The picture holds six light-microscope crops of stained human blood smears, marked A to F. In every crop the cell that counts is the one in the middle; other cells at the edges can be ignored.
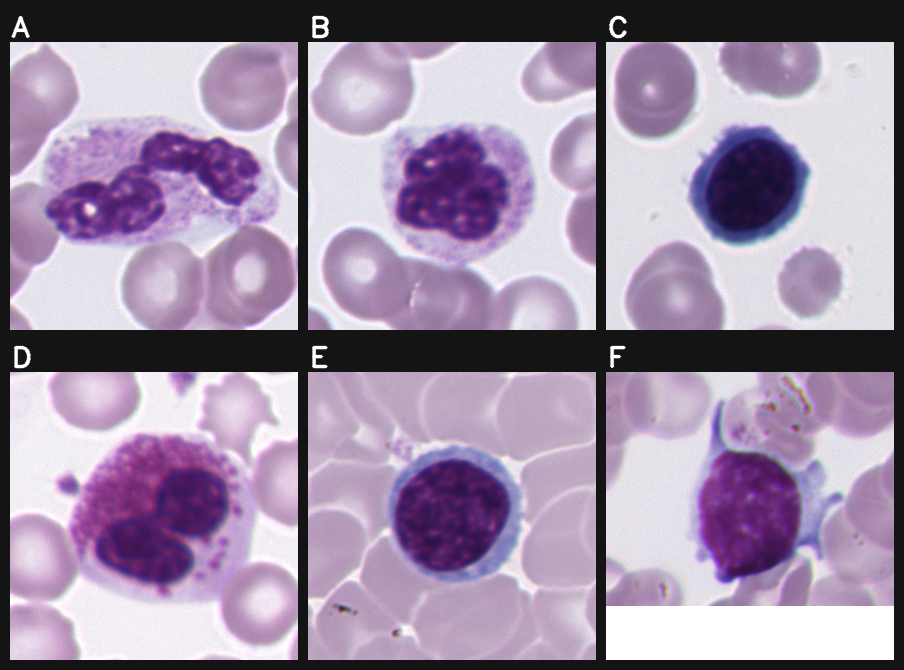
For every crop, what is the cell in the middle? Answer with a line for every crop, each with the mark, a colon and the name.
A: neutrophil
B: neutrophil
C: erythroblast
D: eosinophil
E: lymphocyte
F: lymphocyte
